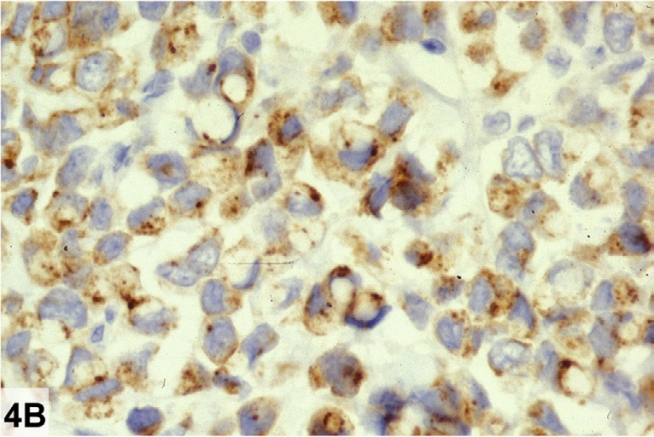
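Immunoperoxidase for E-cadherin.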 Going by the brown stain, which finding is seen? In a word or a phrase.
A: Punctate staining pattern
